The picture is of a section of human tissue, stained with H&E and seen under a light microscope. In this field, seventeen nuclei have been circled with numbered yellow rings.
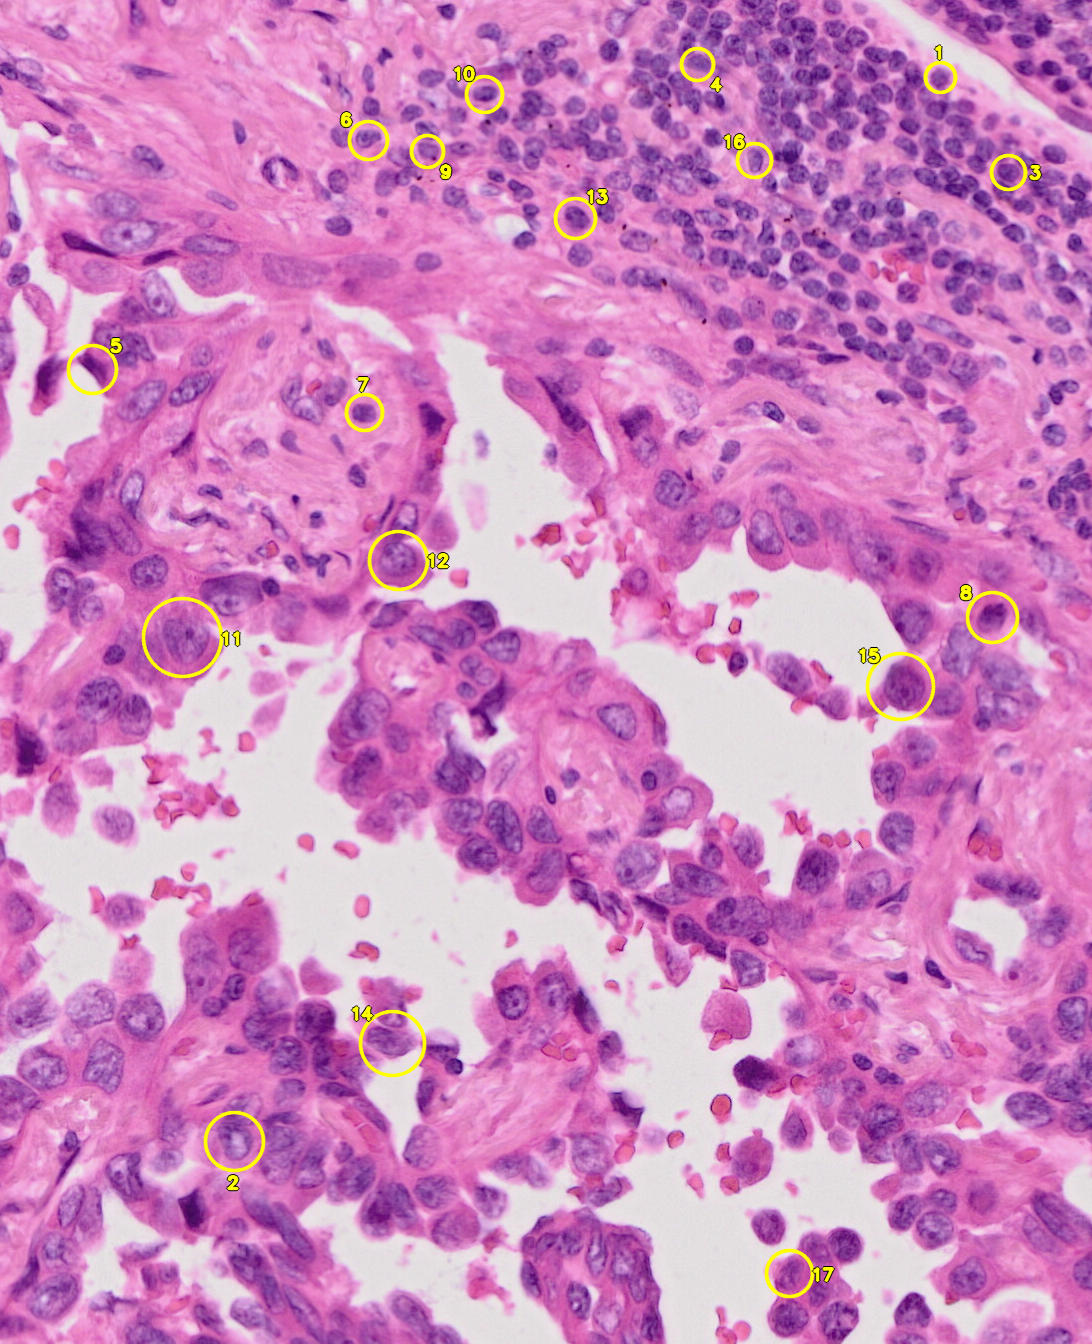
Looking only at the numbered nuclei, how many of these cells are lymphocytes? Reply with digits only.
9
